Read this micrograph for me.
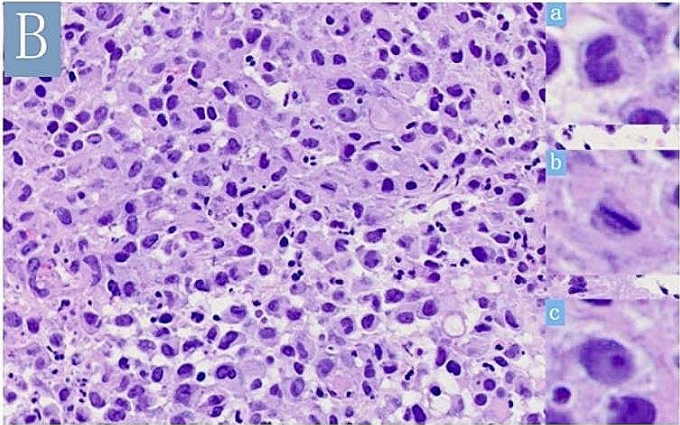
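Sheet of intermediate-sized tumor cells with indistinct cell borders and pale, slightly pink cytoplasm. Nuclei are irregular, some kidney-shaped and indented, some oval with a lengthwise groove. Occasional nuclei show a small nucleolus. Scattered smaller dark nuclei of other cells lie between them.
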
